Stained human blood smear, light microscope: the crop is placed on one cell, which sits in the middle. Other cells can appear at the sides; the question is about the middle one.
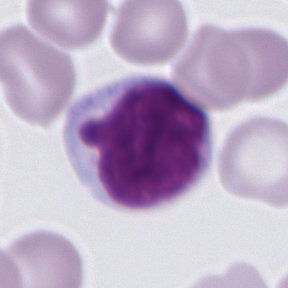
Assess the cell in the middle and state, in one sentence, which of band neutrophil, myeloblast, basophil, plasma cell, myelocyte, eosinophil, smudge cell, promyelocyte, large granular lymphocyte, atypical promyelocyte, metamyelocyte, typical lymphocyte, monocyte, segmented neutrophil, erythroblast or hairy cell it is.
Of the cells in this crop, the central one is a large granular lymphocyte.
